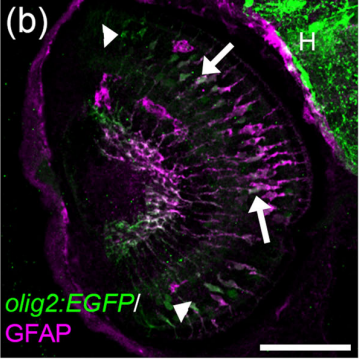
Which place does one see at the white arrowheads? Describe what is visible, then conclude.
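The arrowheads lie at the two ends of the curved retina. Cells beside the arrowheads are green only.
Periphery.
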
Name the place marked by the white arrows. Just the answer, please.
central area of the retina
